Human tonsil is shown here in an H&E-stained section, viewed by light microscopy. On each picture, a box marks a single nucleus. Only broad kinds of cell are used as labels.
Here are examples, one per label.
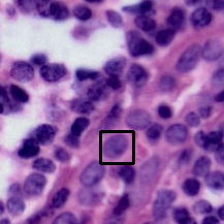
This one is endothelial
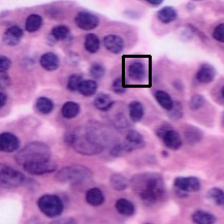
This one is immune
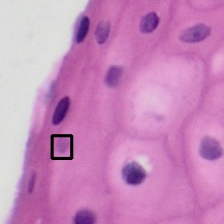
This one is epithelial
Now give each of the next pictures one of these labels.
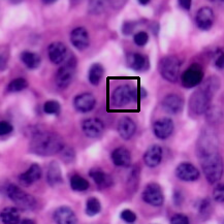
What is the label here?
immune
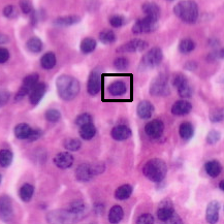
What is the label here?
immune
